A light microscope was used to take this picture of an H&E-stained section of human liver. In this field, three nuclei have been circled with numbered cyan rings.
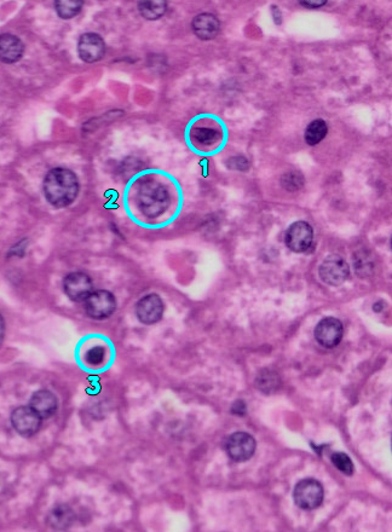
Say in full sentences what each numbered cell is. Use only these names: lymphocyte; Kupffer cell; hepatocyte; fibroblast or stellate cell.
Cell 1 is a fibroblast or stellate cell, cell 2 is a hepatocyte and cell 3 is a lymphocyte.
